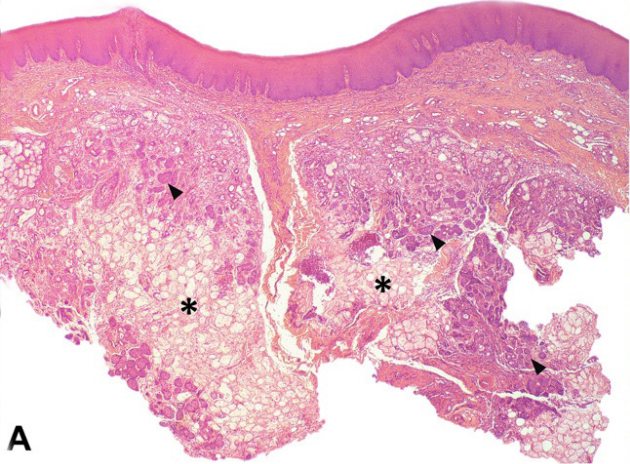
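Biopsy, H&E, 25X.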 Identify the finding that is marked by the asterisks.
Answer: Acinar necrosis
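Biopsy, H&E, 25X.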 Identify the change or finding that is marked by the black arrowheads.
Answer: Squamous metaplasia.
